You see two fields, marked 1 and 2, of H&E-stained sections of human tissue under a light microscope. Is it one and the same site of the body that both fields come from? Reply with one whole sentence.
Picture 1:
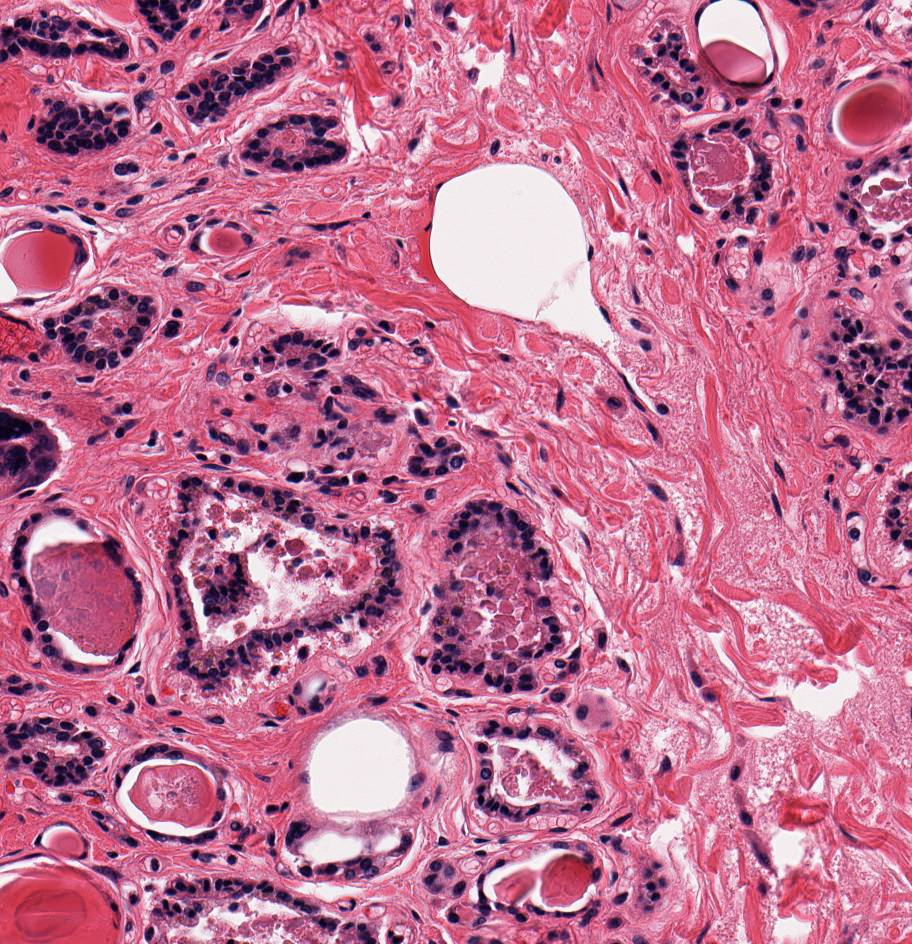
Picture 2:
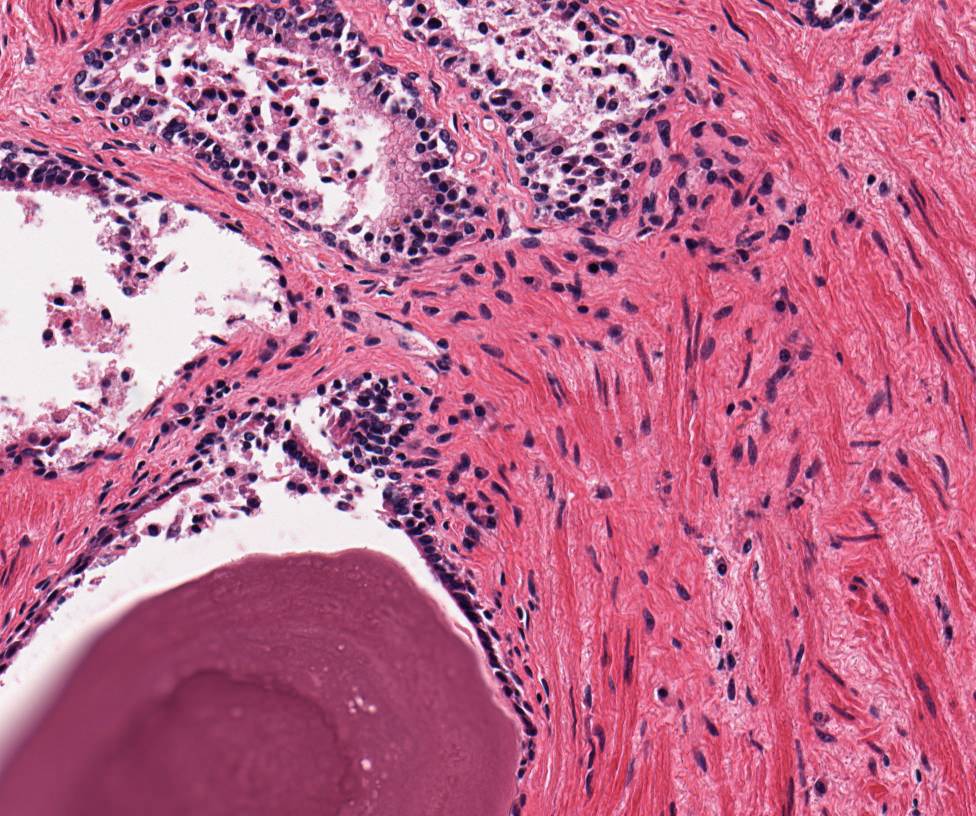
No, they differ: picture 1 comes from the thyroid, and picture 2 comes from the prostate.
